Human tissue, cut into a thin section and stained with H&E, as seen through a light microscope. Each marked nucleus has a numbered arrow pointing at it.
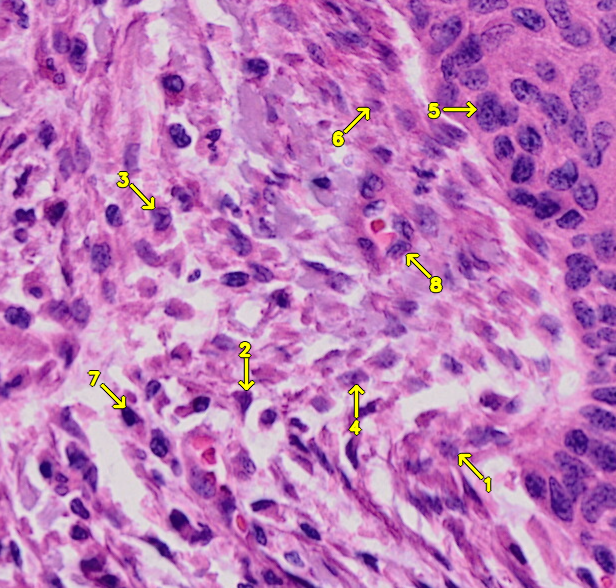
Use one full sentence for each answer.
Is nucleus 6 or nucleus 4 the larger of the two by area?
Nucleus 4 covers more area, about 2 times as much as nucleus 6.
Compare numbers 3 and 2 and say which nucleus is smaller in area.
Nucleus 2 covers less area, with nucleus 3 about 1.5 times as large.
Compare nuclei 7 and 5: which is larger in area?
Number 5 is larger; its area is about 3 times that of number 7.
